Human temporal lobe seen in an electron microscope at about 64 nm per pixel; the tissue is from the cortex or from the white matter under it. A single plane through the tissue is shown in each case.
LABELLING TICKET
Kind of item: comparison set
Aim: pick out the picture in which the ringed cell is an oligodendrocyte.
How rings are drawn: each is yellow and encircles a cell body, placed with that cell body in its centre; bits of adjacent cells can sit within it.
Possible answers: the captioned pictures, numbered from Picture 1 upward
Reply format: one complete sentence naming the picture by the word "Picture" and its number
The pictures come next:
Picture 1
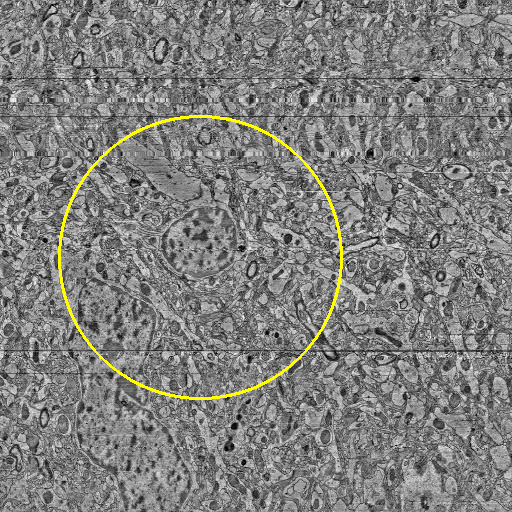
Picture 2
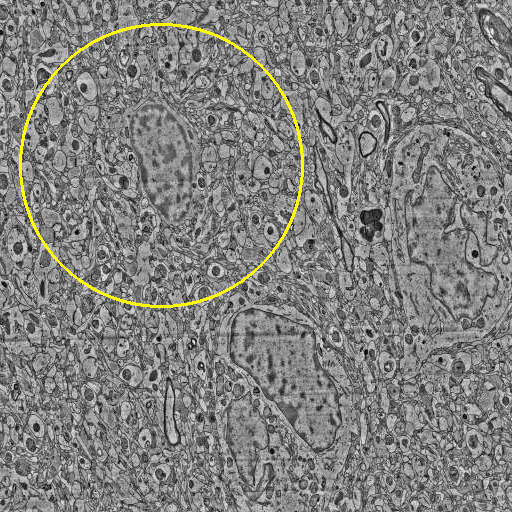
The cell centred inside the yellow ring in Picture 2 is the requested one.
